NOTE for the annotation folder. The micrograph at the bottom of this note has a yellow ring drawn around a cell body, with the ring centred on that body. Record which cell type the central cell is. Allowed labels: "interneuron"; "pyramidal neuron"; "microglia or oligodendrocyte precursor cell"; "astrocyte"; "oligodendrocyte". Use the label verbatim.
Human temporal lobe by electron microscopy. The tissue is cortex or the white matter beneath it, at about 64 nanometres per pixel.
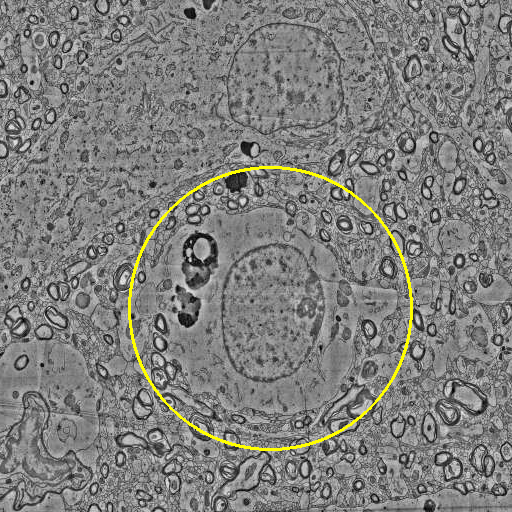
astrocyte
